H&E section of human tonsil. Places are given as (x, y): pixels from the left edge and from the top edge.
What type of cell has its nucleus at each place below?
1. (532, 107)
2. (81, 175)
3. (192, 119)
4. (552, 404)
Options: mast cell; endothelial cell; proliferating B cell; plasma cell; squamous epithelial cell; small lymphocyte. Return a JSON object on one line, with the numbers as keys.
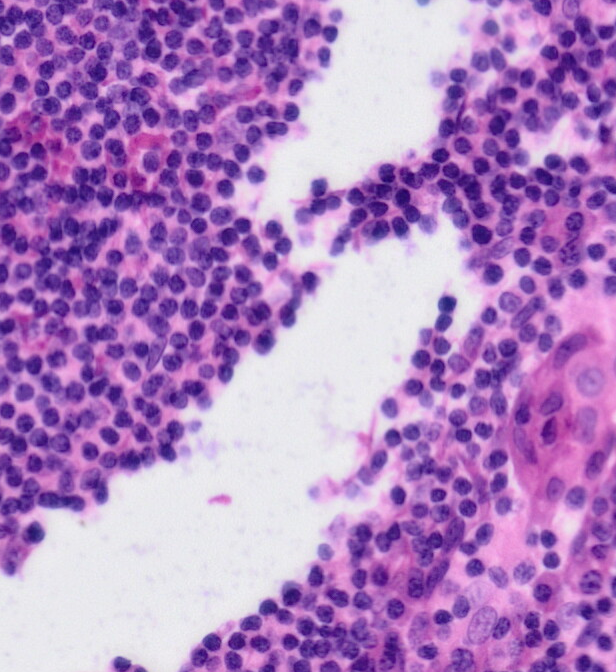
{"1": "small lymphocyte", "2": "small lymphocyte", "3": "small lymphocyte", "4": "squamous epithelial cell"}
